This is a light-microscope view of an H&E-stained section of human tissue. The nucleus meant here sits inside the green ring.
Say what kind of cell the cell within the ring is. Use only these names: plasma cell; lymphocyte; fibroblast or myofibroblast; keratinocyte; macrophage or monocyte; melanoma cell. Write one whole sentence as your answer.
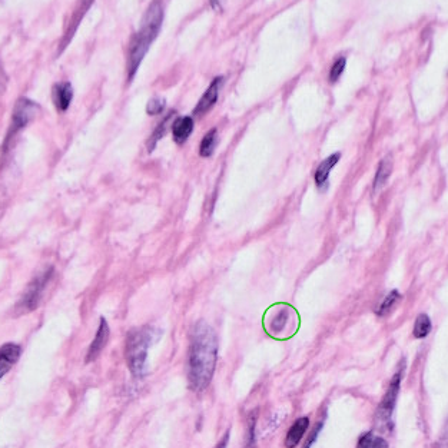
It is as a macrophage or monocyte that the cell within the ring is recorded.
